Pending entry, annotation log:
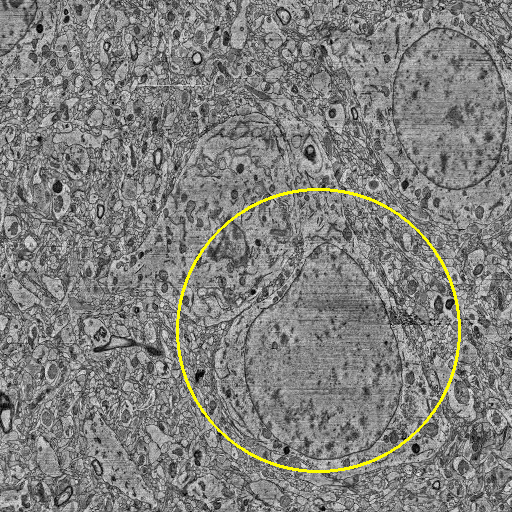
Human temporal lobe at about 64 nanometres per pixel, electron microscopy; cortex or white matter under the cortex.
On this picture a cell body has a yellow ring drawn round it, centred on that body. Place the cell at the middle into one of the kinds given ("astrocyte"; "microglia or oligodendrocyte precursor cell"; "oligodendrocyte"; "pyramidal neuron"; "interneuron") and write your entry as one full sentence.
The cell body at the middle of the yellow ring belongs to a pyramidal neuron.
